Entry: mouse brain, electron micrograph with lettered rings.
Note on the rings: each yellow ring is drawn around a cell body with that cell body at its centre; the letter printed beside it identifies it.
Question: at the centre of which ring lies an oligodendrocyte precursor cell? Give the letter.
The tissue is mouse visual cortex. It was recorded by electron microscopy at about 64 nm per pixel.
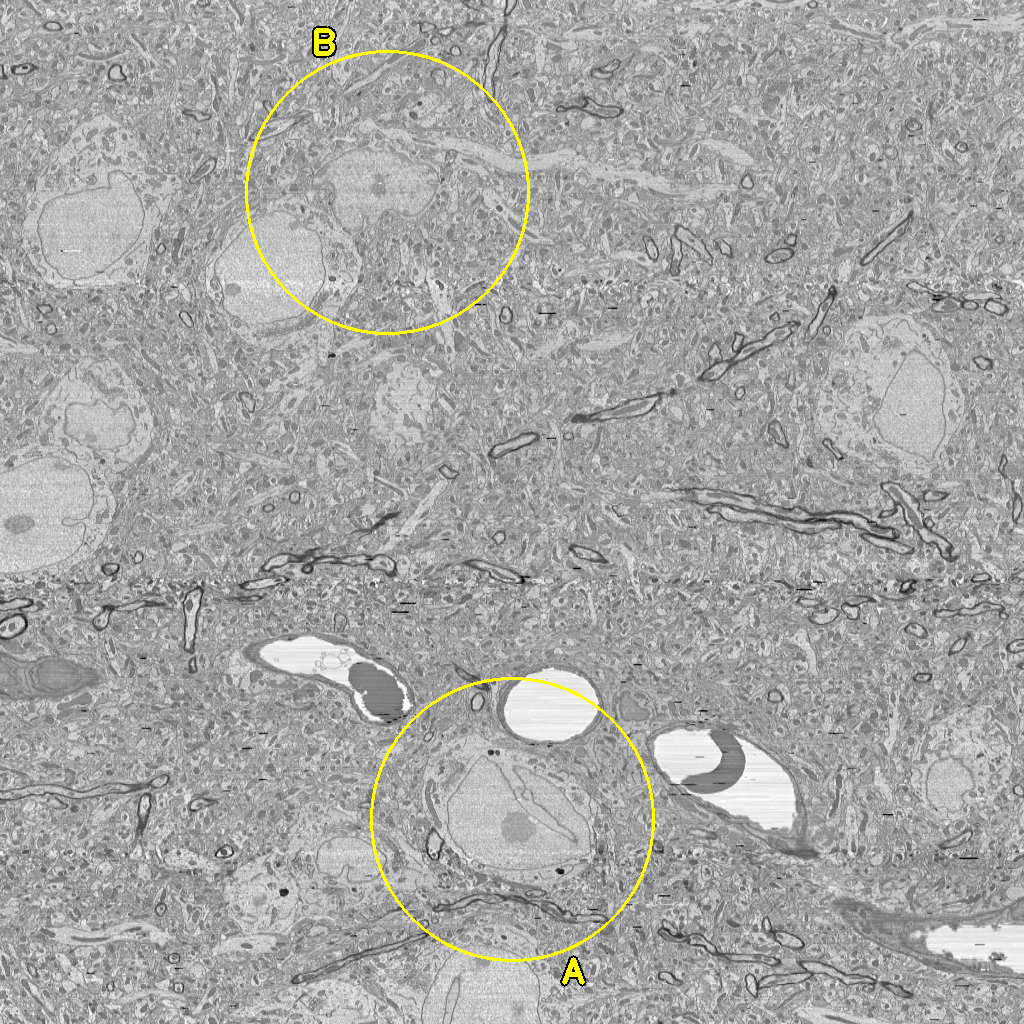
B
